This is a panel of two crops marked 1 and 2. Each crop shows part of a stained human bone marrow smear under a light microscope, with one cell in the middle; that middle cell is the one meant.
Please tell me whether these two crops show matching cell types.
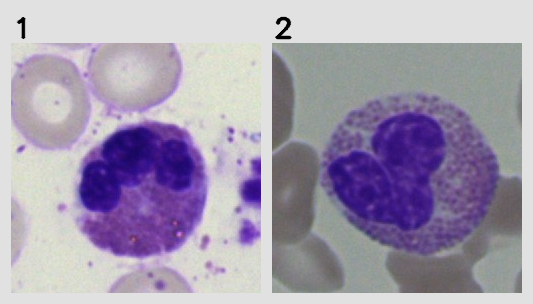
yes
